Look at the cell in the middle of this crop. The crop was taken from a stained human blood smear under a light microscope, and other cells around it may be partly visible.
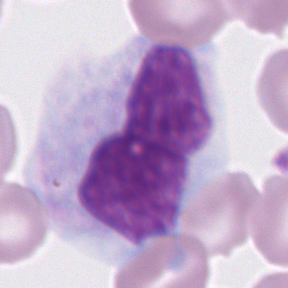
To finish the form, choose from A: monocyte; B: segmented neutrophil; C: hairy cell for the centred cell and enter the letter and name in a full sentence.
Occupying the middle of the crop is a monocyte, hence option A is correct.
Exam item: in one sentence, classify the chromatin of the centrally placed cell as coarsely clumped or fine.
The chromatin is fine throughout, without coarse clumps.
